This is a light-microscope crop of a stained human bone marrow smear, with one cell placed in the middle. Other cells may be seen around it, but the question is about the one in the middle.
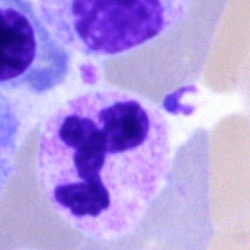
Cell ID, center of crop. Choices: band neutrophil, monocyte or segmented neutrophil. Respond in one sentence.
Positioned in the middle of the crop is a segmented neutrophil.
